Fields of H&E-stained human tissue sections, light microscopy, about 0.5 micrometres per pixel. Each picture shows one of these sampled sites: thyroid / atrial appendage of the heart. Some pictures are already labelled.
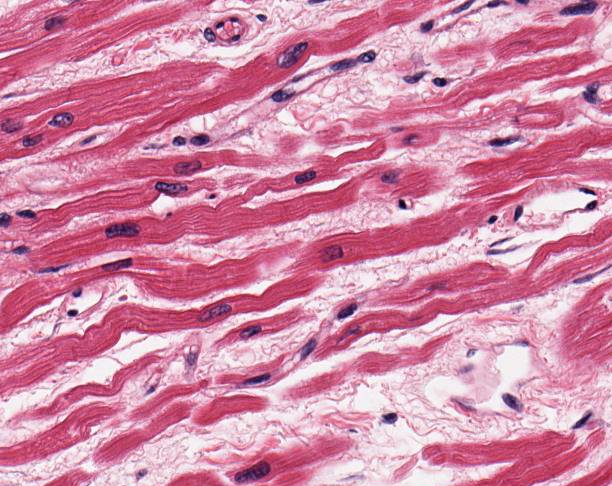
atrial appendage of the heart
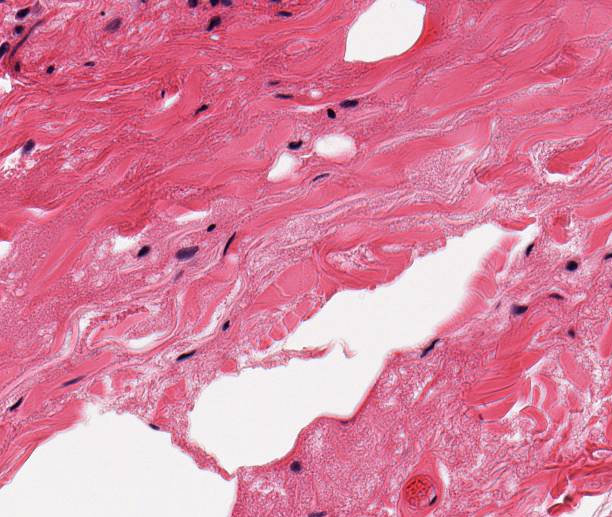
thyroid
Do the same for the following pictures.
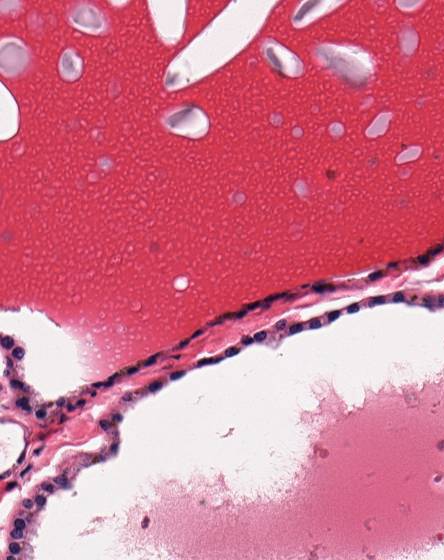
thyroid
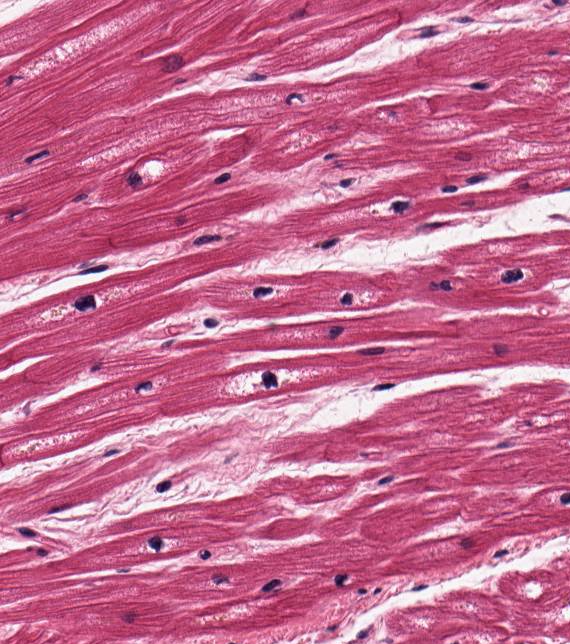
atrial appendage of the heart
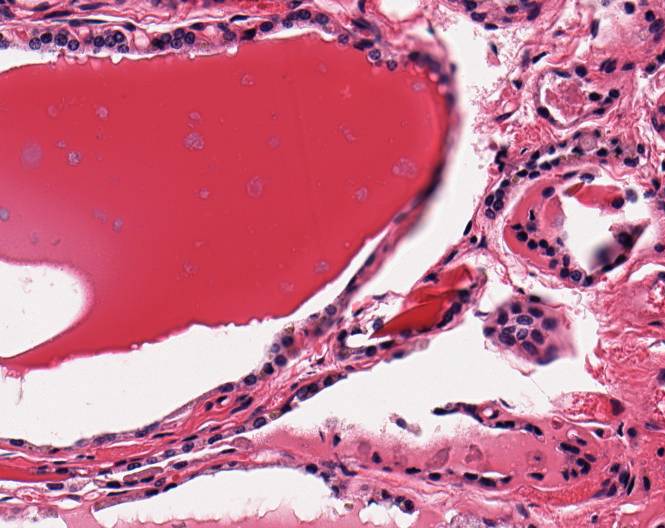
thyroid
